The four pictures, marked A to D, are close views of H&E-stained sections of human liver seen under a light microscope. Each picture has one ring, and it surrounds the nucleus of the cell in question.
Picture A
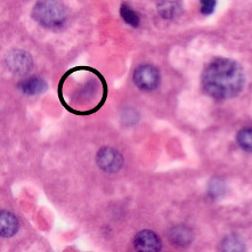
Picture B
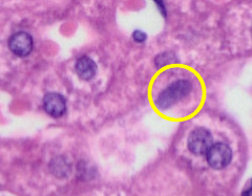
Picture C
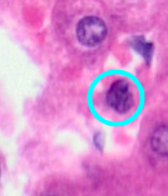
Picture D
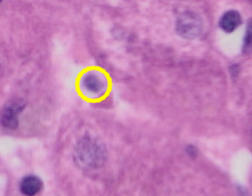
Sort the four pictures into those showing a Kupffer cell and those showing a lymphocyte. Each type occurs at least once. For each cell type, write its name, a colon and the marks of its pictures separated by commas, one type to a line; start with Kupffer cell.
Kupffer cell: A, B, C
lymphocyte: D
